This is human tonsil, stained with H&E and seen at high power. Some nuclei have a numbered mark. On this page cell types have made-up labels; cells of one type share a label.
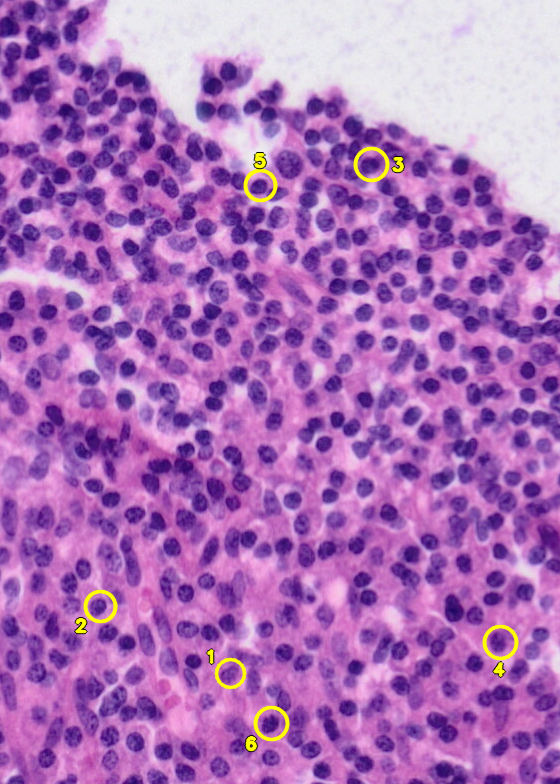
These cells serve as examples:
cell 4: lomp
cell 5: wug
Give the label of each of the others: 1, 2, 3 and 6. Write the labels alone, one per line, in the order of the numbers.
lomp
lomp
wug
lomp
